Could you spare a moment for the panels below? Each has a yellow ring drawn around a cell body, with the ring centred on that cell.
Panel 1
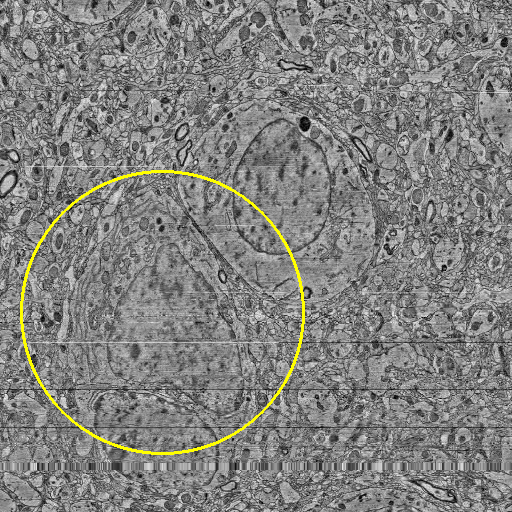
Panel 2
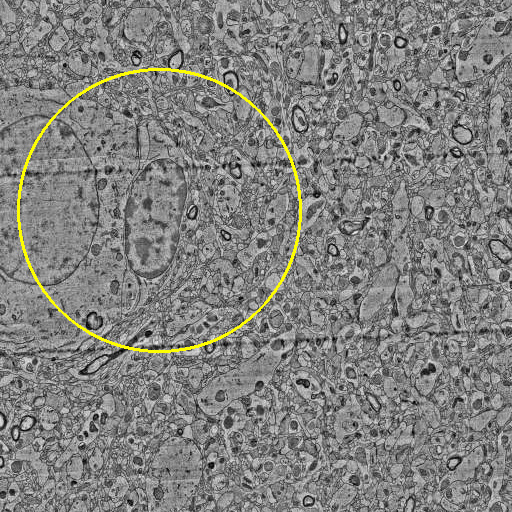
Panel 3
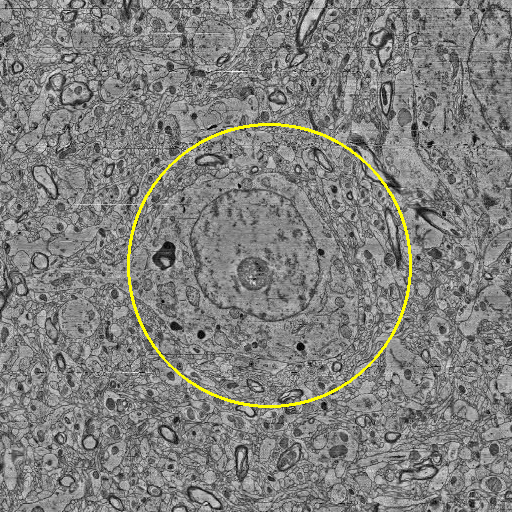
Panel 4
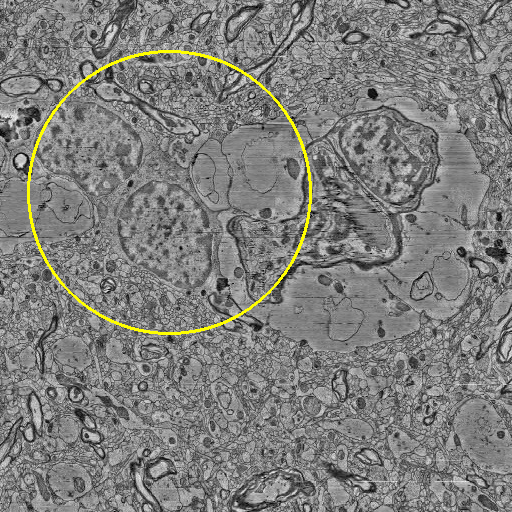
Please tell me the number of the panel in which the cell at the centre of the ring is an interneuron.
1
